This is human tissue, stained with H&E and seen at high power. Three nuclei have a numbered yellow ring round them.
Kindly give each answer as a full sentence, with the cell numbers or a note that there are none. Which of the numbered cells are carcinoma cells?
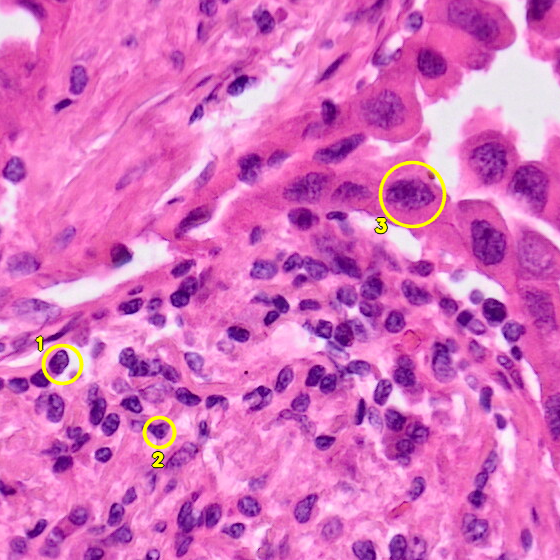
As for the numbered cells, only cell 3 is a carcinoma cell.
